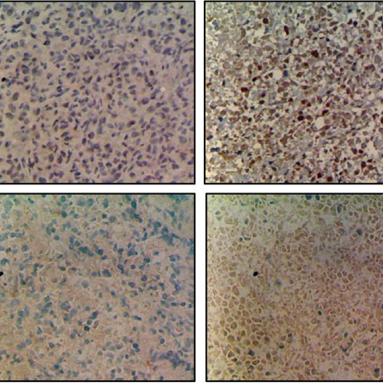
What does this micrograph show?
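Four fields of solid tumor tissue are shown, each made of densely packed tumor cells in sheets with little intervening stroma. The cells have round to oval nuclei. In the upper right field many nuclei are stained brown, while in the upper left field most nuclei are blue. The lower fields show a diffuse pale brown to yellowish background with scattered blue-green nuclei.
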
